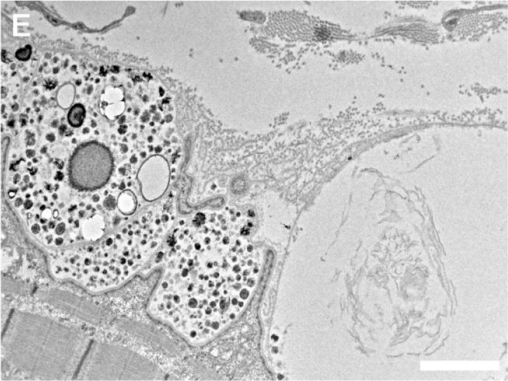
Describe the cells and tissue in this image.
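Electron micrograph of the surface of a skeletal muscle fibre showing large membrane-bound vacuoles bulging into the extracellular space. The vacuoles are crowded with small dark granules of varying density, some ring-shaped profiles, pale empty-looking spaces and a larger rounded homogeneous grey body, consistent with autophagic and granular material and possible mineral deposits. A part of the striated contractile apparatus is seen at the lower edge. Beside the vacuoles lies extracellular space with bundles of fine fibrils, some cut across as dotted arrays.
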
